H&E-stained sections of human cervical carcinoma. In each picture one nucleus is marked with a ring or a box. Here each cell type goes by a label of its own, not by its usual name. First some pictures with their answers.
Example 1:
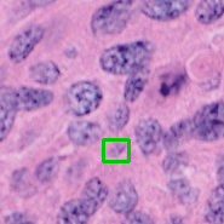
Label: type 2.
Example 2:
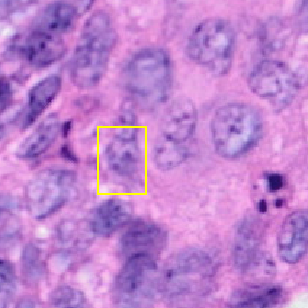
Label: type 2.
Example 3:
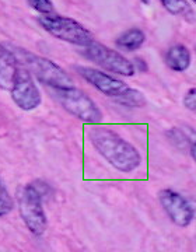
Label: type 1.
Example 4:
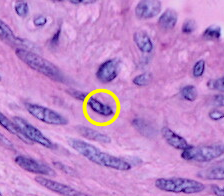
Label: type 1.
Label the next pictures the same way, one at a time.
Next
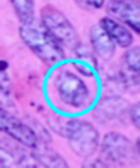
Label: type 2.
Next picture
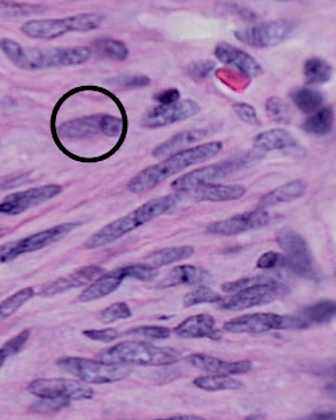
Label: type 1.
